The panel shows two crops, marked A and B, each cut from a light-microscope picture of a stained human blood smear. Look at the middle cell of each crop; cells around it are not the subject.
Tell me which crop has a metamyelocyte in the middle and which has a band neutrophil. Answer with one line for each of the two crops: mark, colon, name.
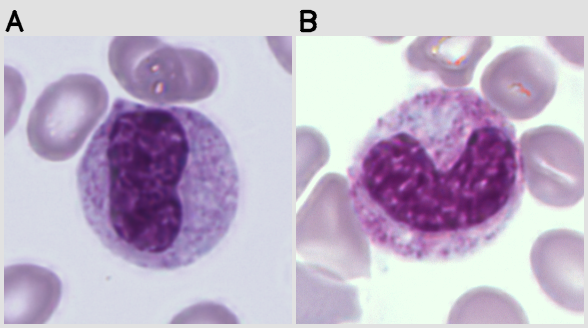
A: metamyelocyte
B: band neutrophil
